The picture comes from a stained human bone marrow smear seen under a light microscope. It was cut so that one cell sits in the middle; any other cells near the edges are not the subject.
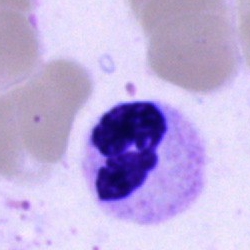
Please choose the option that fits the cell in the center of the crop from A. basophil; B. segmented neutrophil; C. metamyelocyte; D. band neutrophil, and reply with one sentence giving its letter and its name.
In this crop the middle cell is a segmented neutrophil, so option B is the correct answer.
